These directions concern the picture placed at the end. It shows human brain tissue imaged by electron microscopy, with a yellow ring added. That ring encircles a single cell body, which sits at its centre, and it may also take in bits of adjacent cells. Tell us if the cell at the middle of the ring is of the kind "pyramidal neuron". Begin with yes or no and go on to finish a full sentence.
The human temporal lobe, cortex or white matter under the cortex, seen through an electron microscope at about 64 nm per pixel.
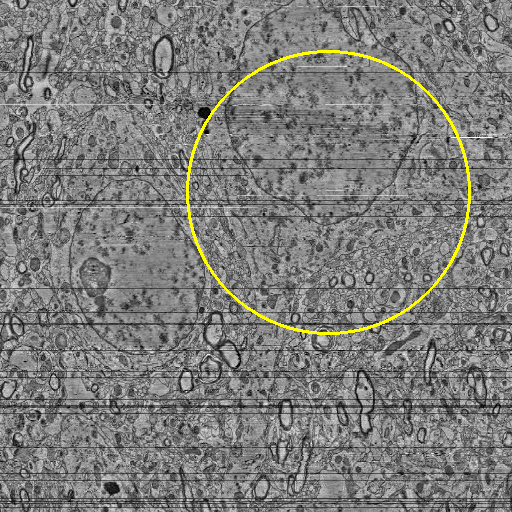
Yes, the cell sitting at the centre of the yellow ring in the picture is of that kind.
